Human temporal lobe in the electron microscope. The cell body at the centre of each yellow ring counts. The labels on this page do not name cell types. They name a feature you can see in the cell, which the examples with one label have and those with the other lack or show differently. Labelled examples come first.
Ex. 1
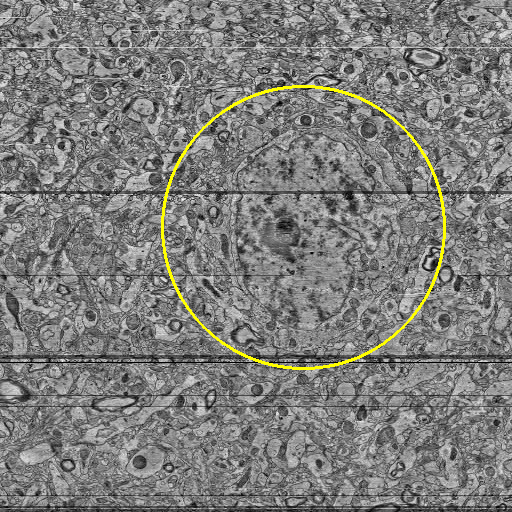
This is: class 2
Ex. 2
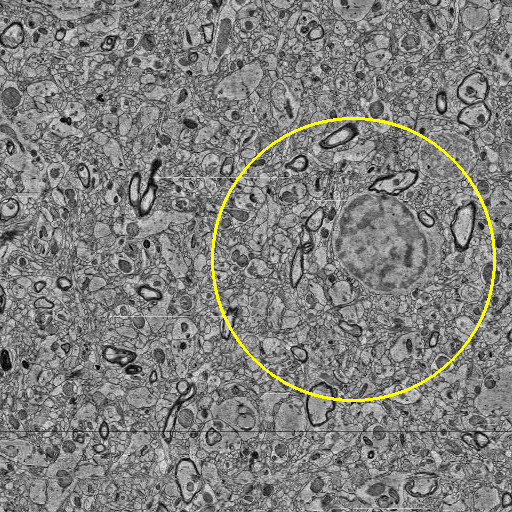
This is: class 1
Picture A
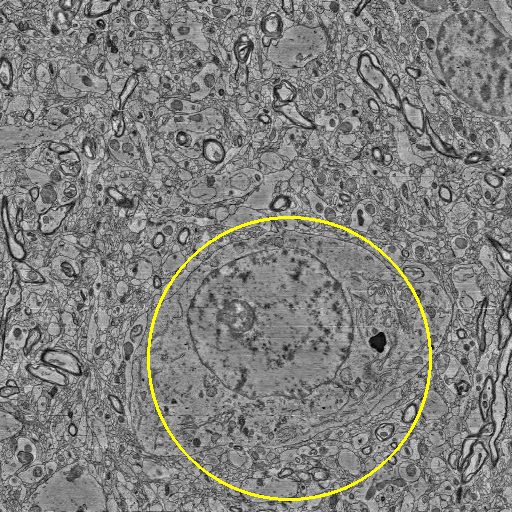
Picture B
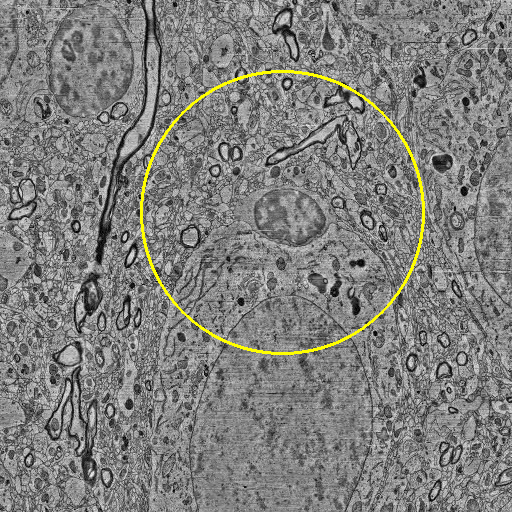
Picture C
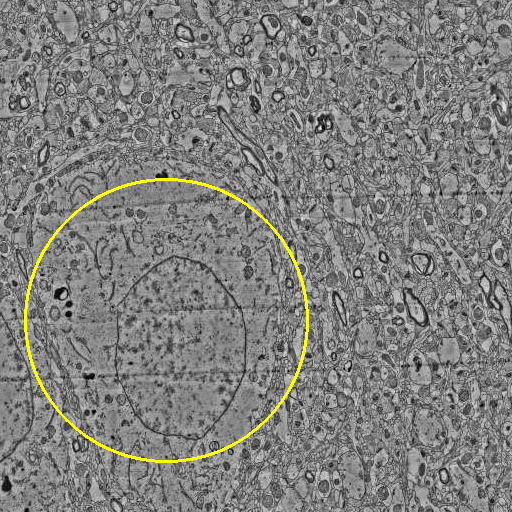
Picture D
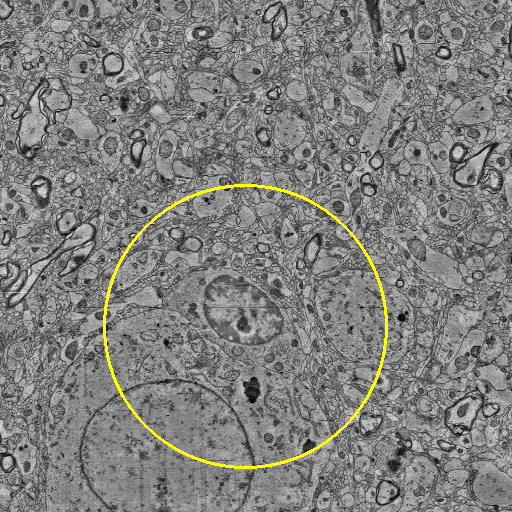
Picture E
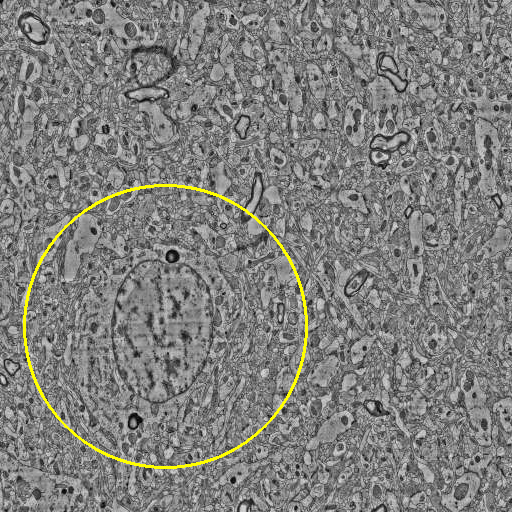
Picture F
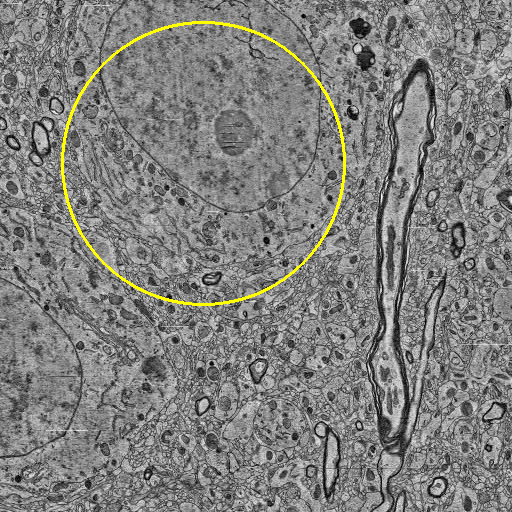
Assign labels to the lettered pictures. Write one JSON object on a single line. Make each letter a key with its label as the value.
{"A": "class 2", "B": "class 1", "C": "class 1", "D": "class 2", "E": "class 1", "F": "class 2"}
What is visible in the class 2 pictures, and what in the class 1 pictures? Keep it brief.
class 2, nucleolus seen; class 1, no nucleolus seen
